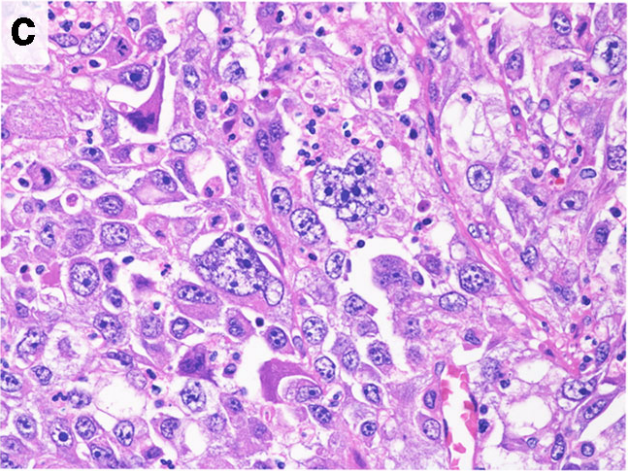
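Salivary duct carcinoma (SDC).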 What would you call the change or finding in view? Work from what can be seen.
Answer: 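Nuclei vary greatly in size and shape. Some very large, bizarre, hyperchromatic nuclei. Large nuclei with coarse chromatin among smaller ones. That points to this answer: prominent nuclear pleomorphism.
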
